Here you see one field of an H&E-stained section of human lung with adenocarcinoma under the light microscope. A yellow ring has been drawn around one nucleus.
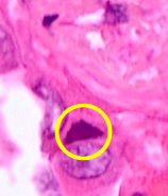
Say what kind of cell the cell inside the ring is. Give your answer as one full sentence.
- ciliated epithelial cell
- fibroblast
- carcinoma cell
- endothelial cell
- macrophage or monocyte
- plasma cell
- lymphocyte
The cell inside the ring appears to be a carcinoma cell.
